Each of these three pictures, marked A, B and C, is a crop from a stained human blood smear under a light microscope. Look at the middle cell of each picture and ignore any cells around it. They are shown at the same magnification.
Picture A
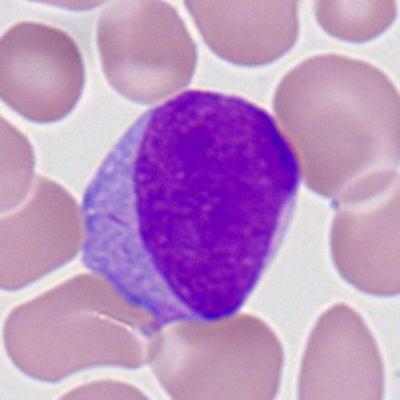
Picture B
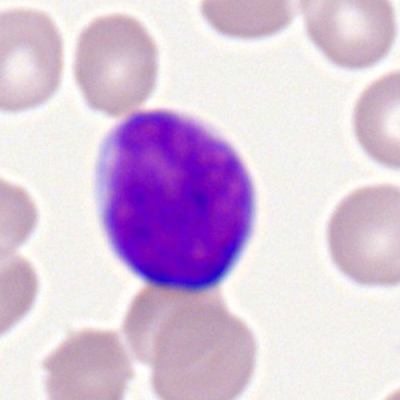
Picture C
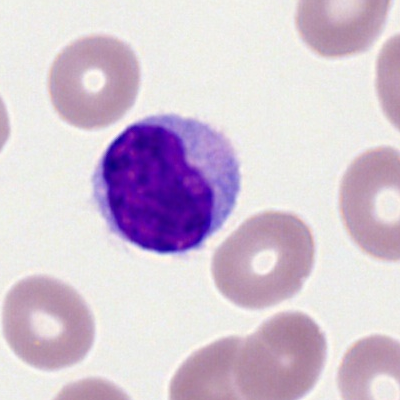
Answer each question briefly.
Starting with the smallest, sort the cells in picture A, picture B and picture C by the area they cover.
C, B, A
